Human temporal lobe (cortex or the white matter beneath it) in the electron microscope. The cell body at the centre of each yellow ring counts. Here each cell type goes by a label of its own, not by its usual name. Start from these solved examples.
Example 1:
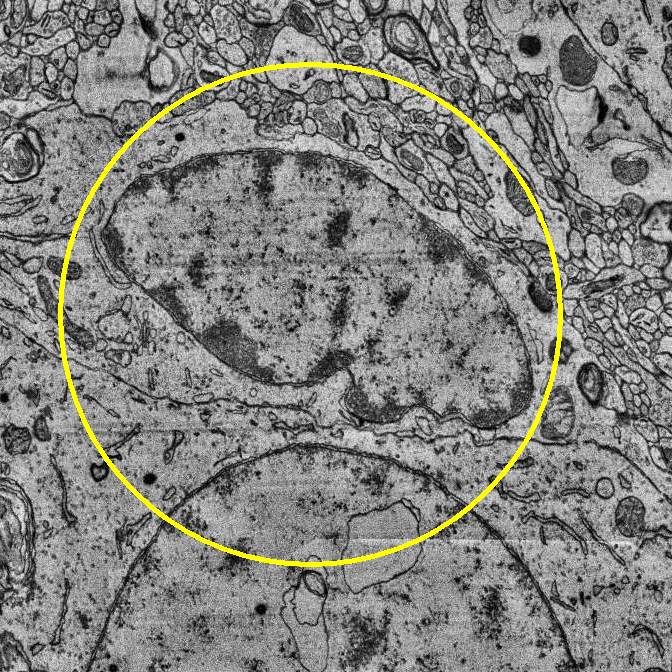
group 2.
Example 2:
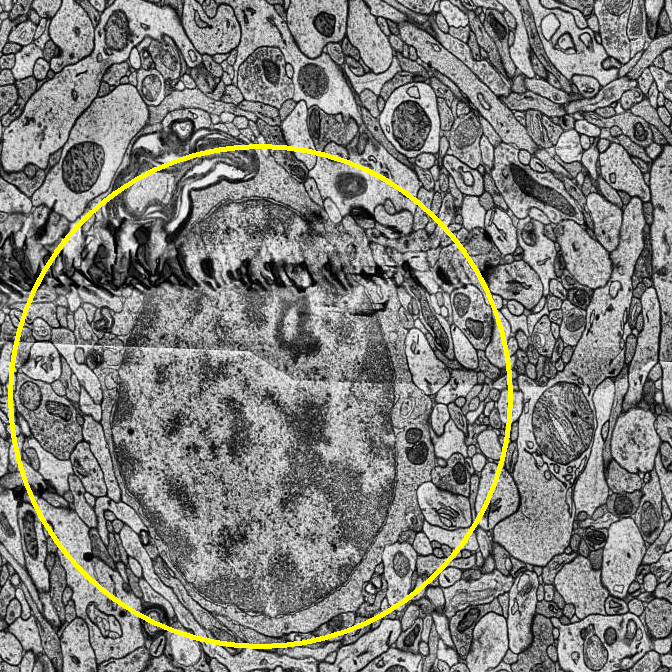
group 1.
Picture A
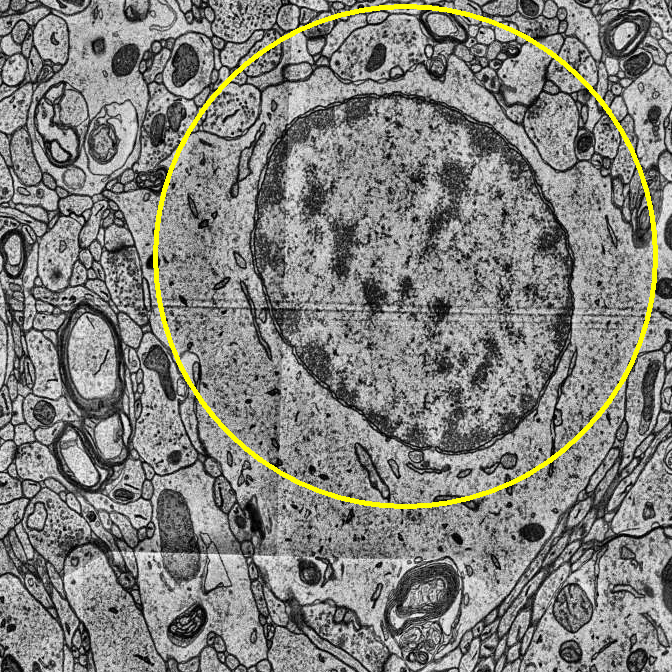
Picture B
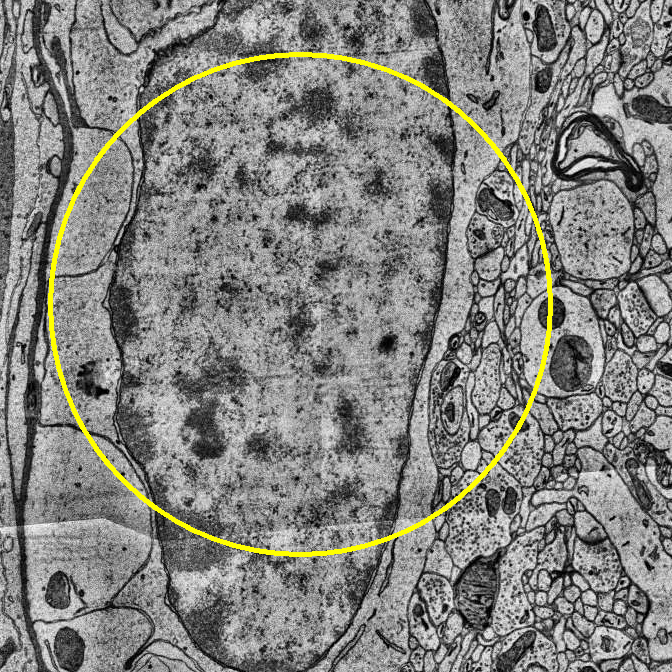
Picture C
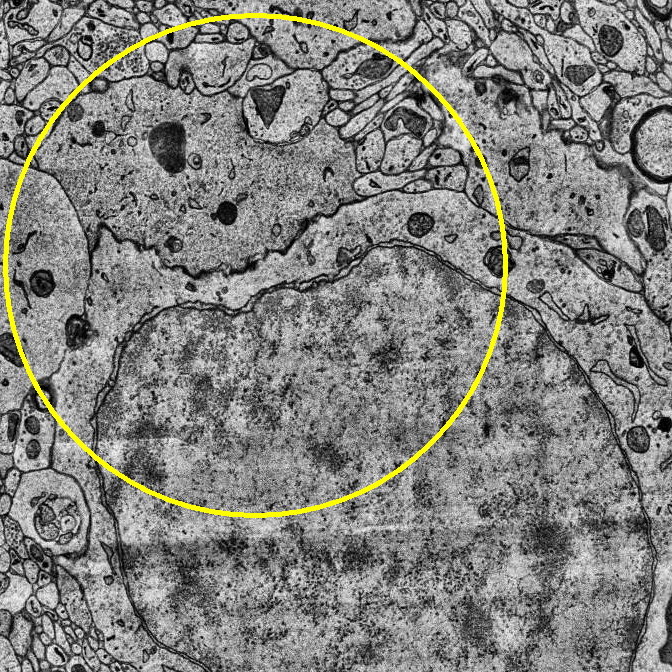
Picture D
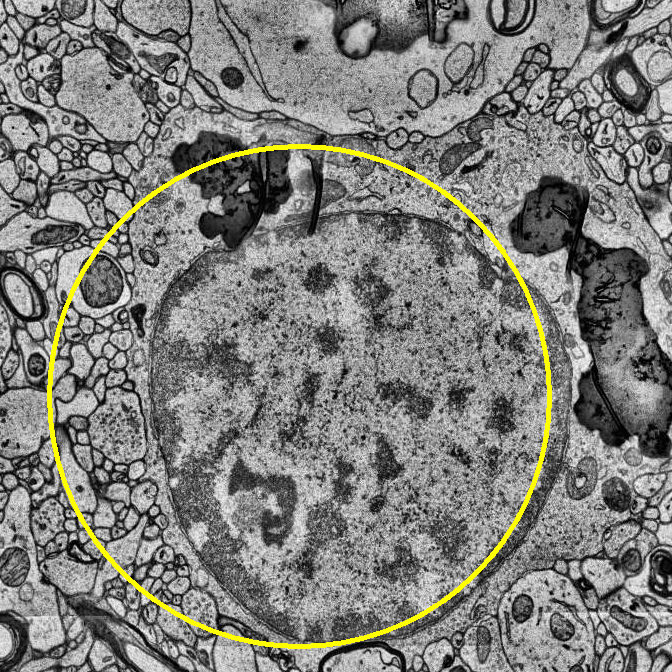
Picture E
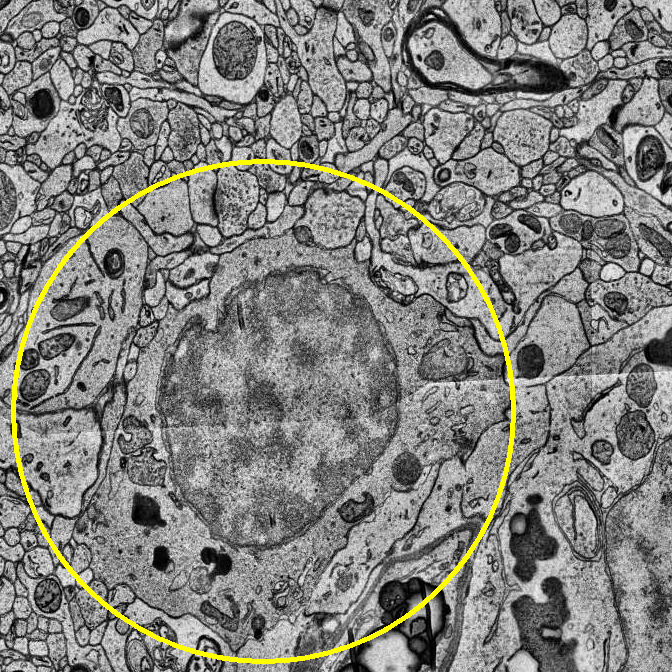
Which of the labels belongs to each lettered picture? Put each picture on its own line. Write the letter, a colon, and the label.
A: group 2.
B: group 2.
C: group 1.
D: group 1.
E: group 1.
